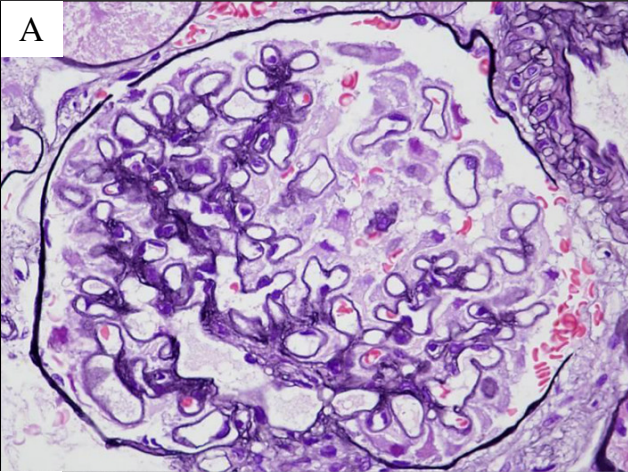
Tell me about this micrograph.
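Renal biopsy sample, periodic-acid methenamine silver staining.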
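The capillary loops are outlined by black-stained basement membranes that are irregular, with some segments thick and others thin, giving the tuft a rounded, bubbly appearance. Pink-purple cytoplasm and dark nuclei fill the tuft between the open, empty capillary lumens, a few of which contain red blood cells. Surrounding tubules and interstitium are seen at the edges.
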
